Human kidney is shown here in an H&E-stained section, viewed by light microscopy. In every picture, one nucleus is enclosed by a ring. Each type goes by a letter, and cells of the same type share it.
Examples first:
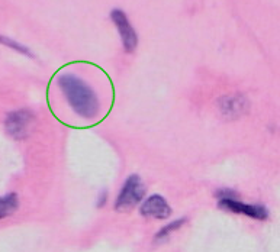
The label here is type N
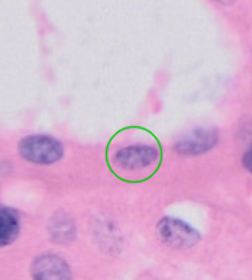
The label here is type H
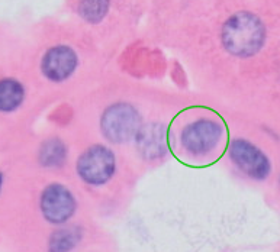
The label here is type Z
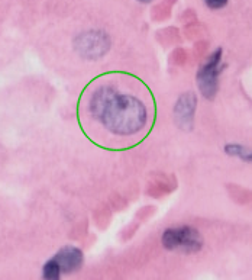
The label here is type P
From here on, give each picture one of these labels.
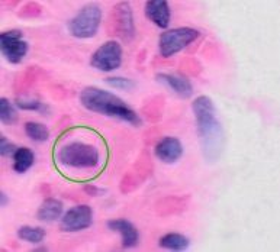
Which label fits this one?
type N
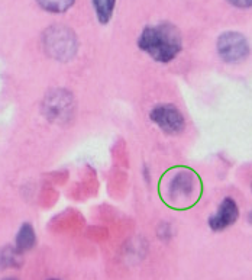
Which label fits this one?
type H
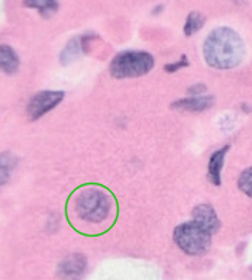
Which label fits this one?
type H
